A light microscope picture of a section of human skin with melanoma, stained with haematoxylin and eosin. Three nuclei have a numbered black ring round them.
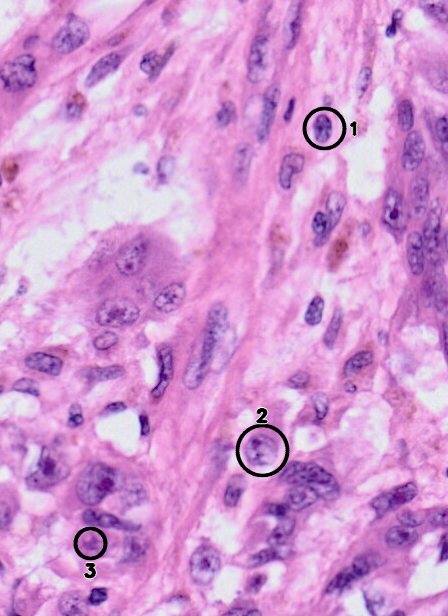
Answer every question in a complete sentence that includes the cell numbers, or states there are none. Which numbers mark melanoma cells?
Classified as melanoma cells are the cells numbered 2 and 3.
